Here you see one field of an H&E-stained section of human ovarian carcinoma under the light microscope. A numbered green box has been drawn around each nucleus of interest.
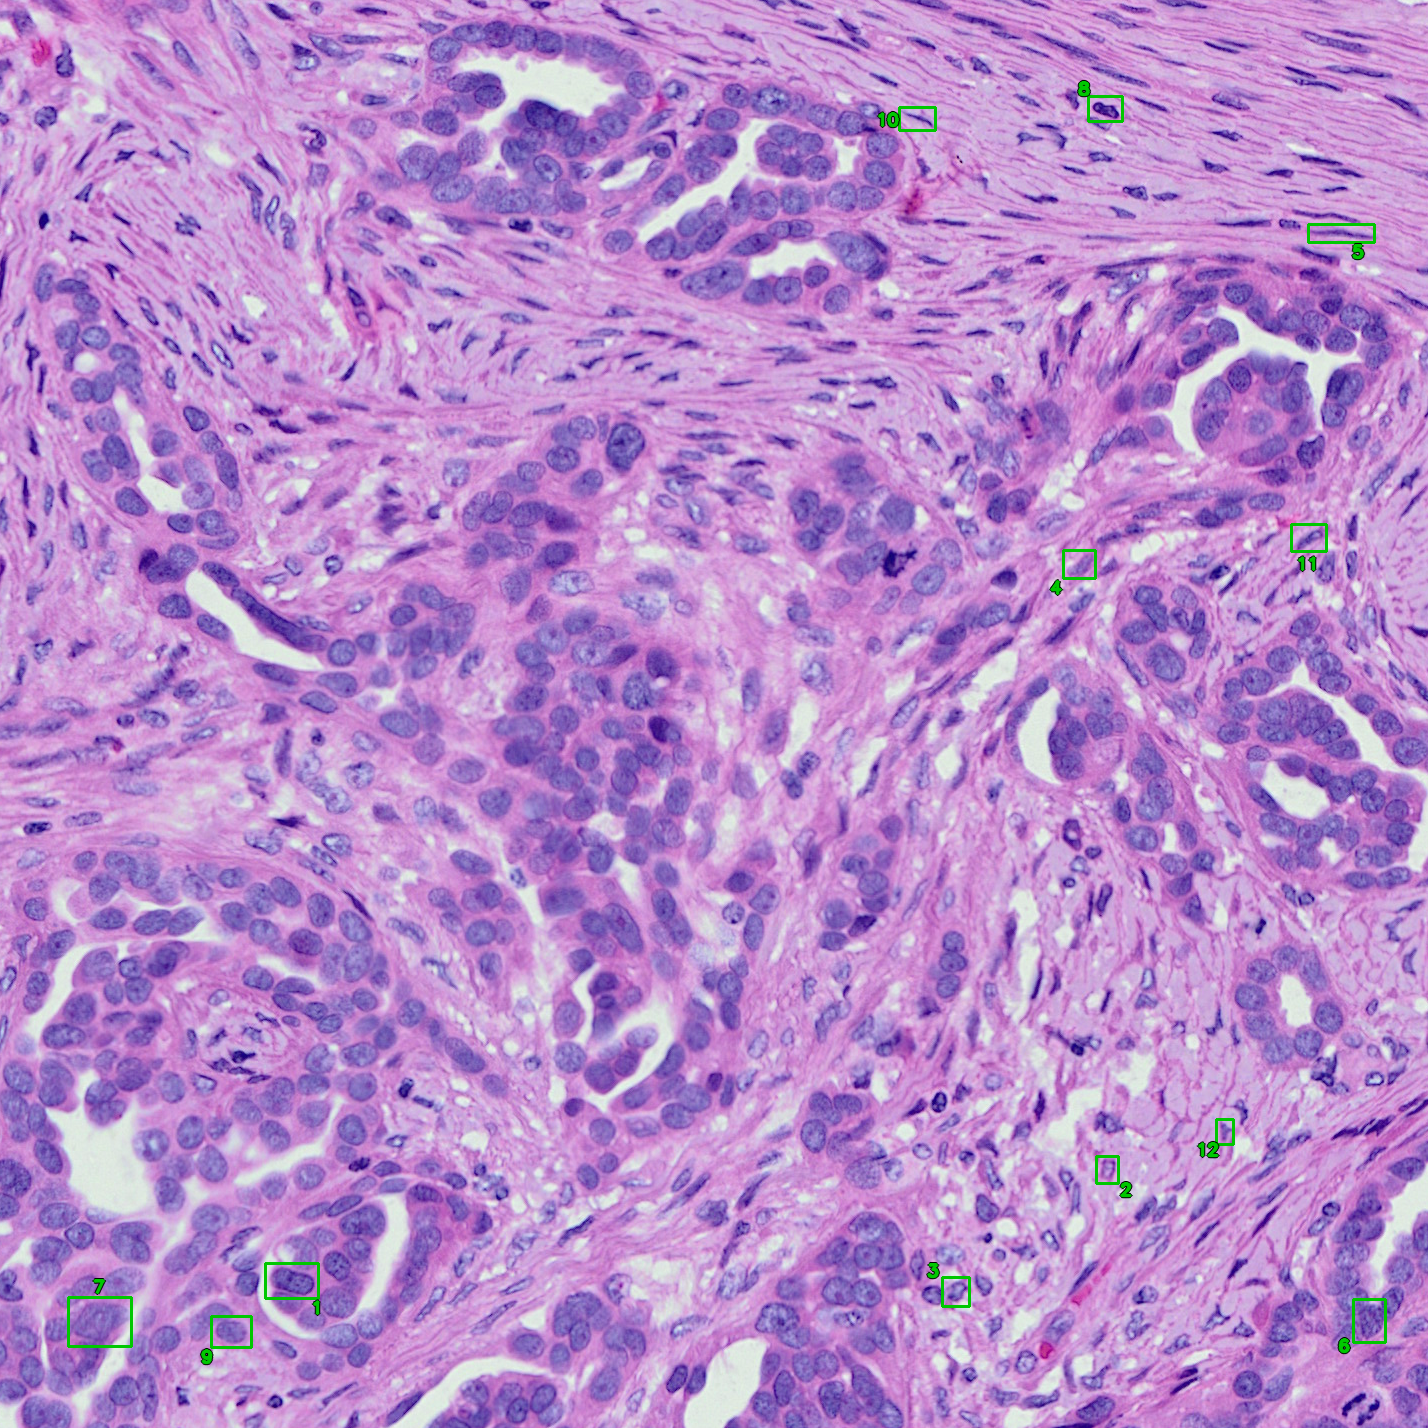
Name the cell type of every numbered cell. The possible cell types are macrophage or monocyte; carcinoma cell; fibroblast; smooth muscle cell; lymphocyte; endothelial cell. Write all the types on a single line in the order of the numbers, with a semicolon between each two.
carcinoma cell; fibroblast; fibroblast; fibroblast; fibroblast; carcinoma cell; carcinoma cell; lymphocyte; carcinoma cell; fibroblast; fibroblast; fibroblast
